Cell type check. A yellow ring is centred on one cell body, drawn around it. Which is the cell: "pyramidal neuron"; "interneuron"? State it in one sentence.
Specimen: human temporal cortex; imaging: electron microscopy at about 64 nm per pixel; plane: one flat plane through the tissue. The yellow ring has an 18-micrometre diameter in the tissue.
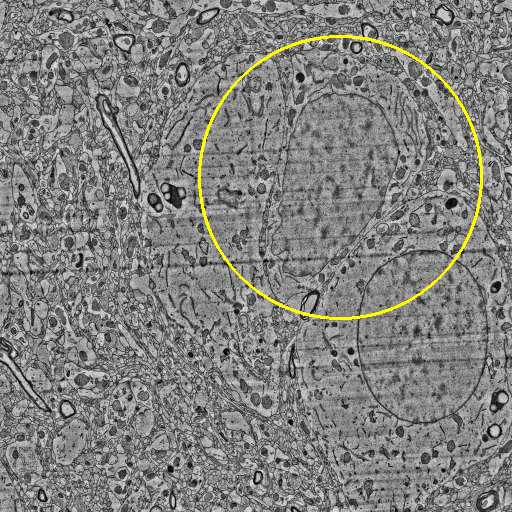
The cell body at the ring's centre belongs to an interneuron.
